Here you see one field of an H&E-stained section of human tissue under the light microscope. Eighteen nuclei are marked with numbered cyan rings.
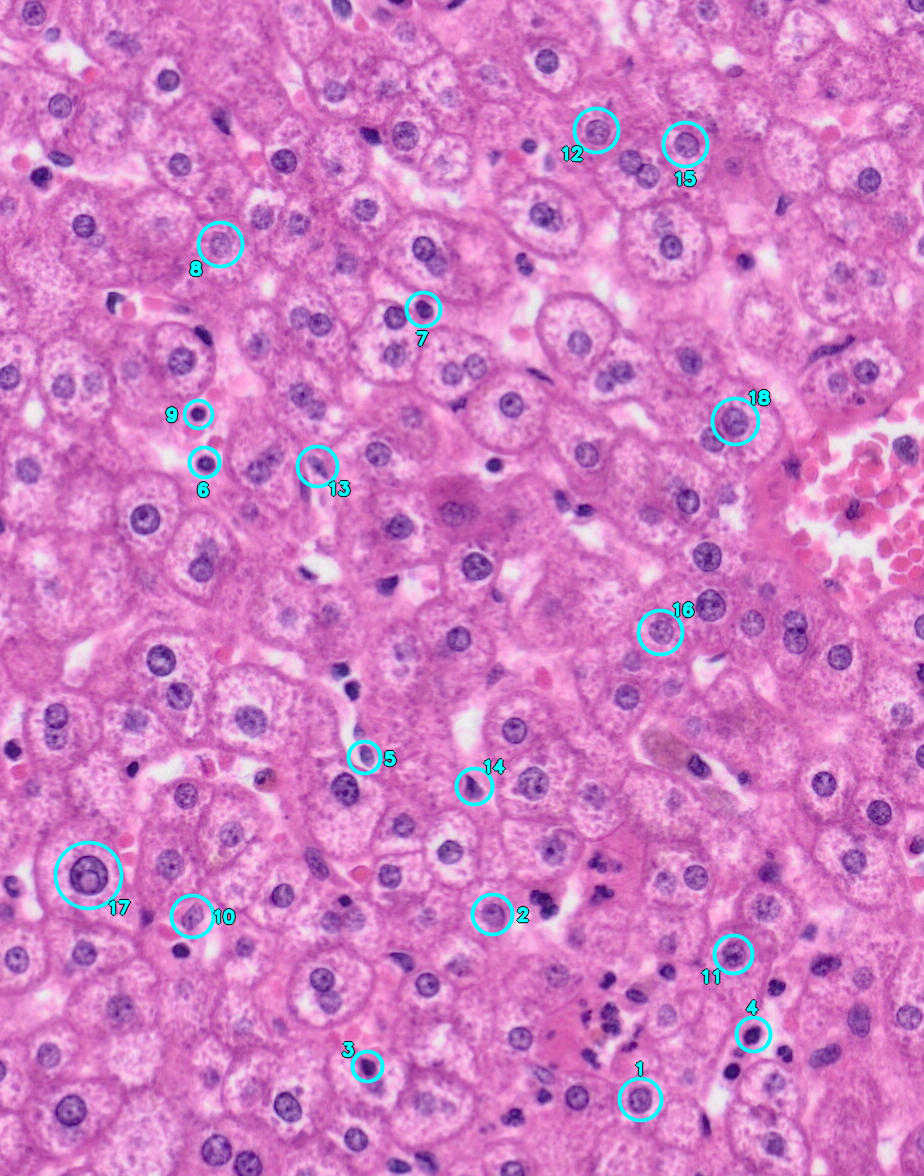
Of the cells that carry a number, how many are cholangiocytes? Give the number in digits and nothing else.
0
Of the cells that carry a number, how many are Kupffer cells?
1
